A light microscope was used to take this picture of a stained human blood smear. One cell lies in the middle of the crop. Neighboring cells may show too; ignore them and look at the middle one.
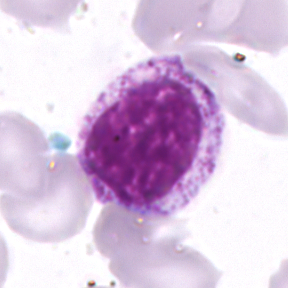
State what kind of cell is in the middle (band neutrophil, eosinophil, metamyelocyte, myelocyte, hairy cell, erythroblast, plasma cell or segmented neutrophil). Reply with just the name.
myelocyte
